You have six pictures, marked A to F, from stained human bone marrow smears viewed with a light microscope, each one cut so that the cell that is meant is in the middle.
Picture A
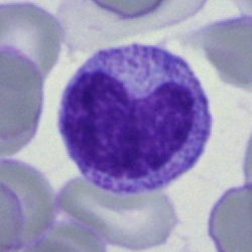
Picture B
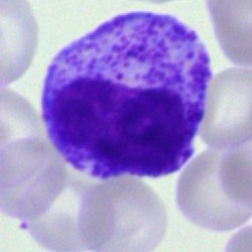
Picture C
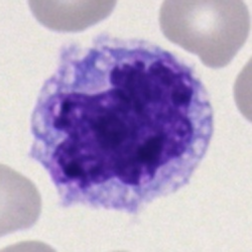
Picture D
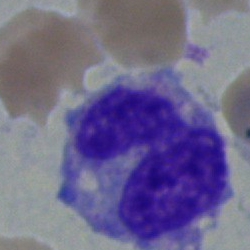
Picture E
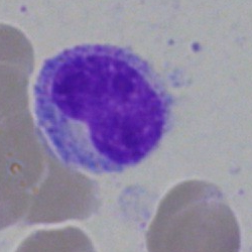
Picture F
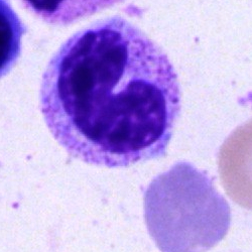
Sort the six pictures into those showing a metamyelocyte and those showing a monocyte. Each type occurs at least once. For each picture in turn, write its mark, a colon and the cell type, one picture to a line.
A: metamyelocyte
B: metamyelocyte
C: monocyte
D: monocyte
E: metamyelocyte
F: metamyelocyte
